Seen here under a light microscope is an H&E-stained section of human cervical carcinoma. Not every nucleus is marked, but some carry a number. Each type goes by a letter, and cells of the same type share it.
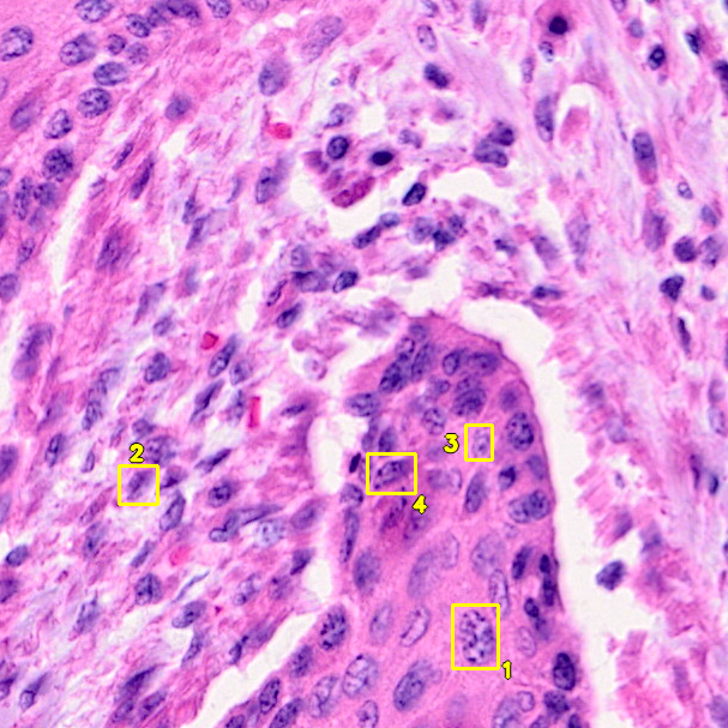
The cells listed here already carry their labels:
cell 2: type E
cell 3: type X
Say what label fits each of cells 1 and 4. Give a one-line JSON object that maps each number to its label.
{"1": "type X", "4": "type X"}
